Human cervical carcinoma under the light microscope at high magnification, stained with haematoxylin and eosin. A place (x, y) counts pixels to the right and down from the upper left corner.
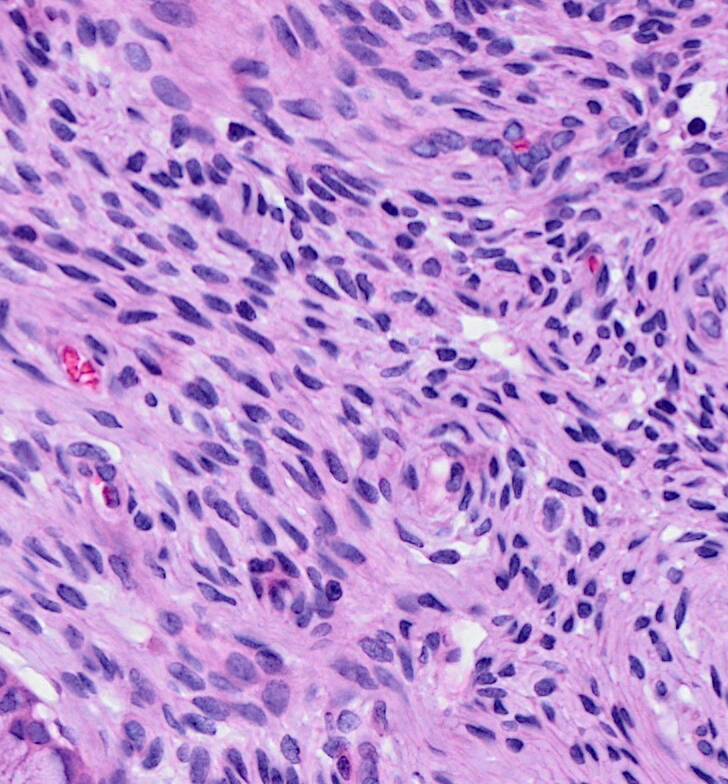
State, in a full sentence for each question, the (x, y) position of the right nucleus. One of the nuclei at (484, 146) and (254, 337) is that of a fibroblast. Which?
Between the two nuclei, the one sitting at (254, 337) belongs to a fibroblast.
